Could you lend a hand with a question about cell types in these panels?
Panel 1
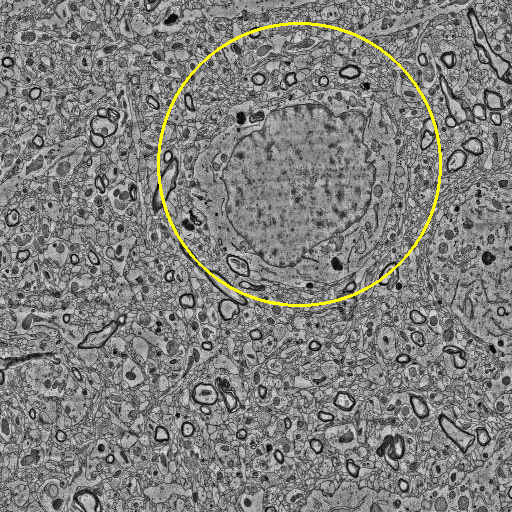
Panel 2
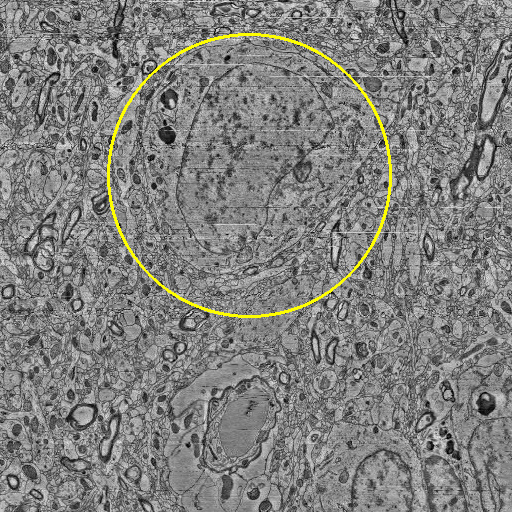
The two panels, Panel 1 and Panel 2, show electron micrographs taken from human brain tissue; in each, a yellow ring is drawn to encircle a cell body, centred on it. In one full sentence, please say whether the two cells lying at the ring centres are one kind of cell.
No, the cells at the ring centres in the two panels are two kinds of cell.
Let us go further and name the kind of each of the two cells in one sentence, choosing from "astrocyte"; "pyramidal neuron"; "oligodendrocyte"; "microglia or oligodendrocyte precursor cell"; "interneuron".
The ring of the first picture is on an interneuron, the ring of the second on a pyramidal neuron.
